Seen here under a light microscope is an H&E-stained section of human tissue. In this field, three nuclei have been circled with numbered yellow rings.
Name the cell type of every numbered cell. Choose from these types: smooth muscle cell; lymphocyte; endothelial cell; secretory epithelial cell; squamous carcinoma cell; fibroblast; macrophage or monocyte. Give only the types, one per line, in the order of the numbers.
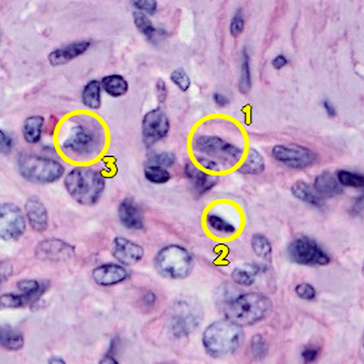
endothelial cell
lymphocyte
endothelial cell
